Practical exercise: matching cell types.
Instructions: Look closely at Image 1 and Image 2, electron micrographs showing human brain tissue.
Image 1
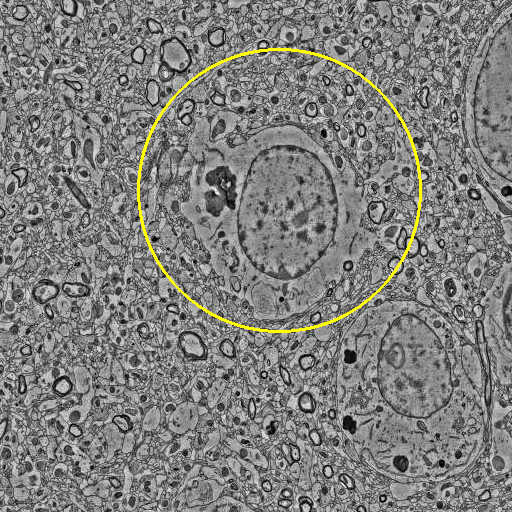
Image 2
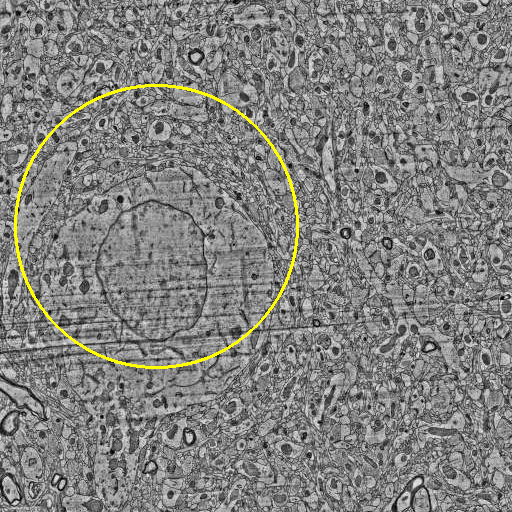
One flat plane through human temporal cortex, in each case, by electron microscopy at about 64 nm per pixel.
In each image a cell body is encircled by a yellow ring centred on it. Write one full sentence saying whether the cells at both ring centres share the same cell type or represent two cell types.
Across Image 1 and Image 2, the cells at the ring centres represent two cell types.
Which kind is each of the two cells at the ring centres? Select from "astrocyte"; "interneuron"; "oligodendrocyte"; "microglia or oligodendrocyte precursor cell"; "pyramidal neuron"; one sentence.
The cell at the centre of the ring is an astrocyte in the first picture and a pyramidal neuron in the second.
